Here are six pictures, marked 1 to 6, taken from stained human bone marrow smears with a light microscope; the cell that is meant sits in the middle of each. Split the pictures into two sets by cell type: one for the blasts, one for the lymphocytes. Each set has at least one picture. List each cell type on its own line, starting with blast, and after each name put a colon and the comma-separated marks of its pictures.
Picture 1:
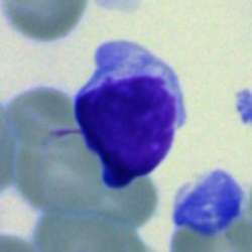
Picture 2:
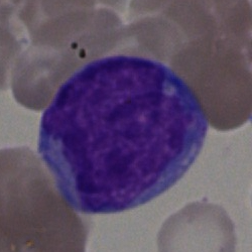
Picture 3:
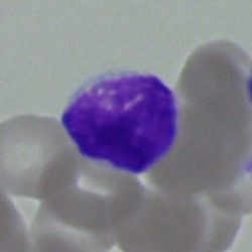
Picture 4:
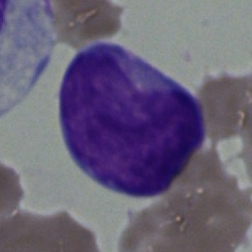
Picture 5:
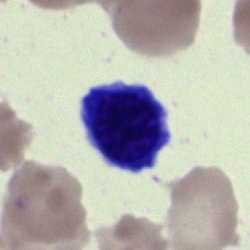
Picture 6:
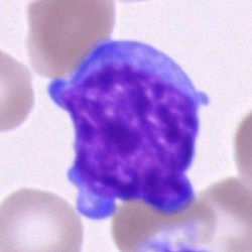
blast: 2, 4, 6
lymphocyte: 1, 3, 5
